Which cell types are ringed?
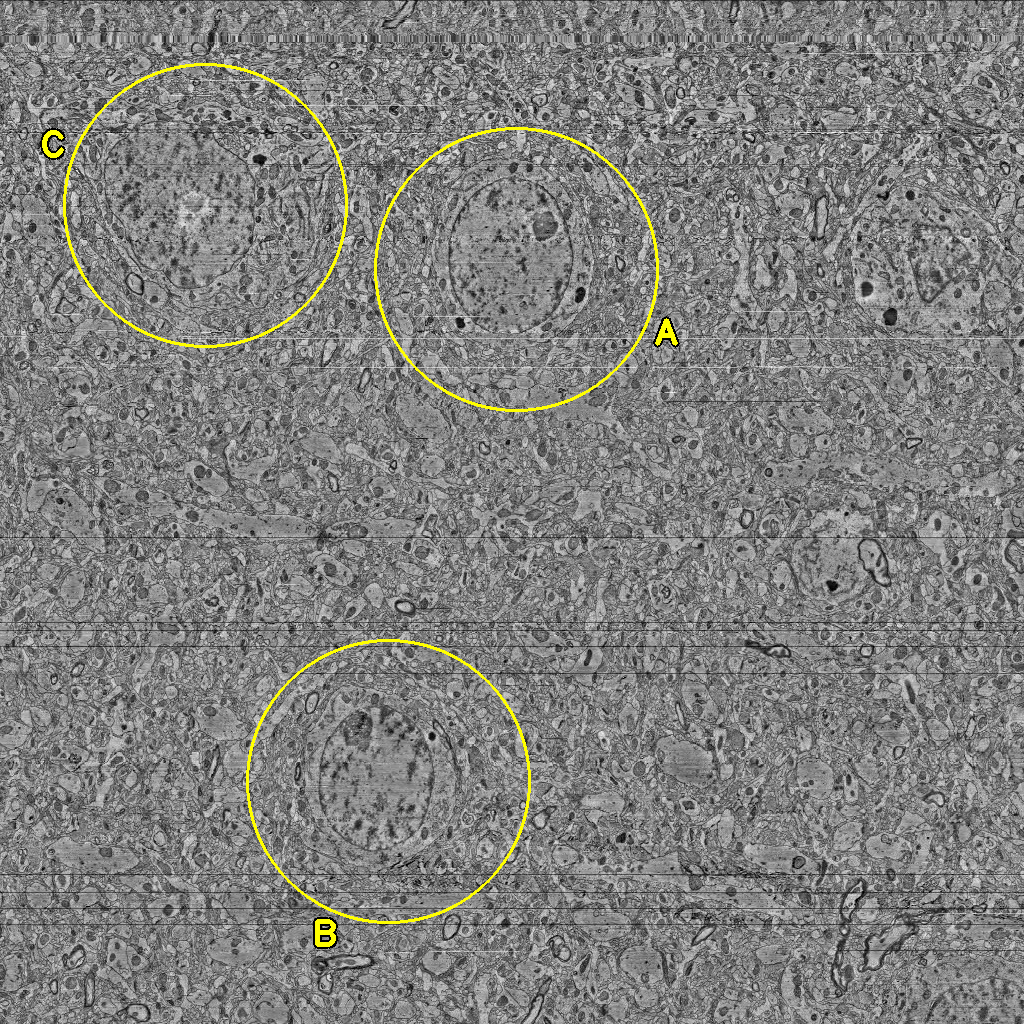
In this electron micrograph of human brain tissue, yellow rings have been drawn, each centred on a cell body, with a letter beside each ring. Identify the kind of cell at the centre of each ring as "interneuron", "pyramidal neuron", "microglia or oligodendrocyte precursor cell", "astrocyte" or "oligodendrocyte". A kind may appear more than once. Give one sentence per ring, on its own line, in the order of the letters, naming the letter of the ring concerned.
Ring A is drawn on a pyramidal neuron.
Ring B is drawn on a pyramidal neuron.
Ring C is drawn on an interneuron.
